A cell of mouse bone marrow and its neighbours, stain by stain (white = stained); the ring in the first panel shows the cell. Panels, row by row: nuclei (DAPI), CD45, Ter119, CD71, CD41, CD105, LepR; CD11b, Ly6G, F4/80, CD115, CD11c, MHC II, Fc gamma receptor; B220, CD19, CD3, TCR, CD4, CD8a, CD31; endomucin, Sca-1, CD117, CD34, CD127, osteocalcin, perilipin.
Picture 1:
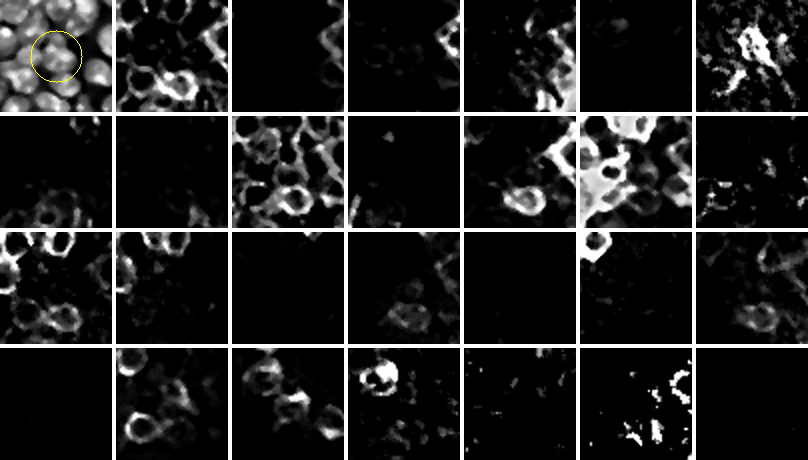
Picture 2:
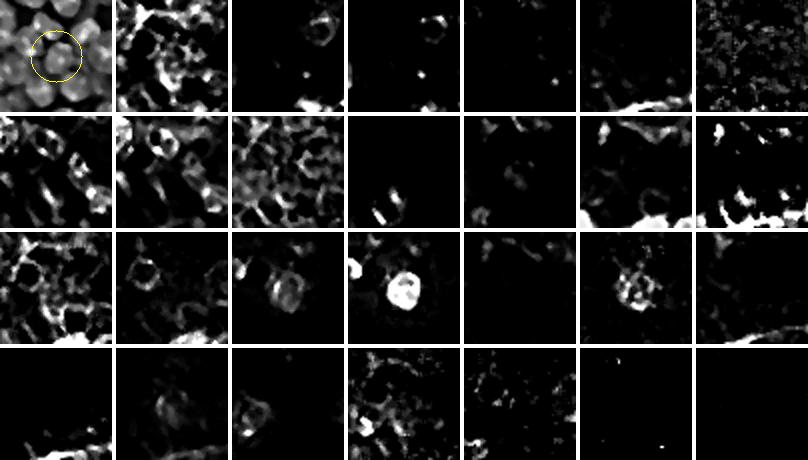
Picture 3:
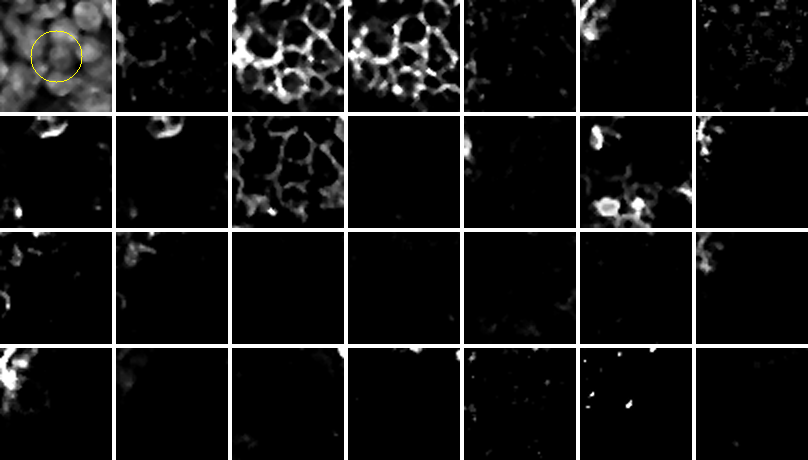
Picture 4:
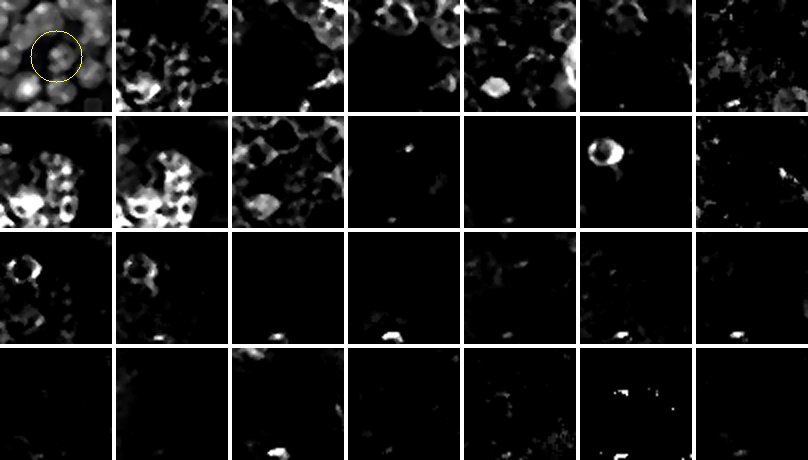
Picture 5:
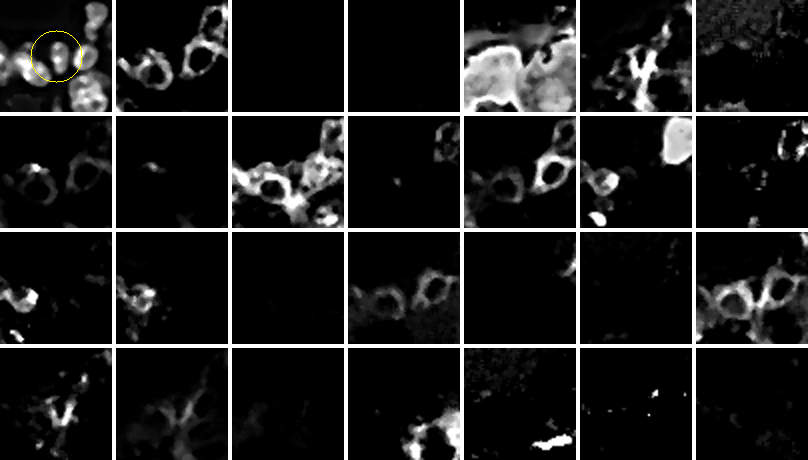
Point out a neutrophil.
That is picture 4.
